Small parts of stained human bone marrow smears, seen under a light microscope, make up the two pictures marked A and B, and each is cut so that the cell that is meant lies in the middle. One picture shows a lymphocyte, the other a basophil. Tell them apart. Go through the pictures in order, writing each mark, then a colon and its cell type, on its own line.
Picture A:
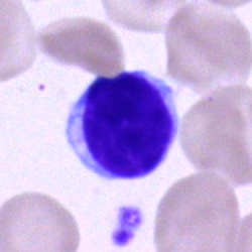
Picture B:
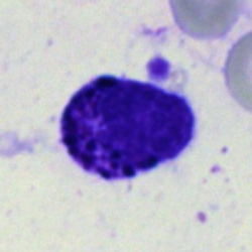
A: lymphocyte
B: basophil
